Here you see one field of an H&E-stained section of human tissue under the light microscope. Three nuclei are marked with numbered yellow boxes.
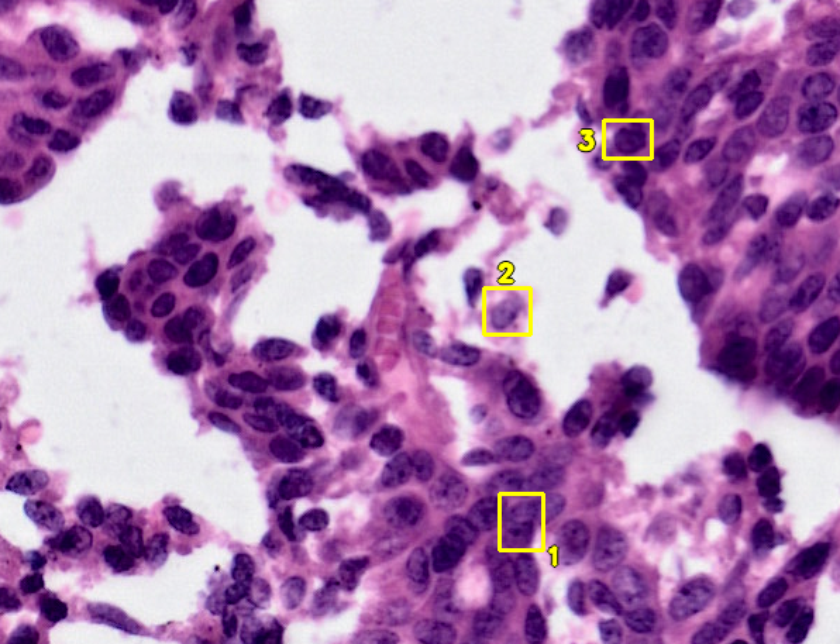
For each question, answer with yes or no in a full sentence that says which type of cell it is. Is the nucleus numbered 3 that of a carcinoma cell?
Yes, the cell distinguished by number 3 is a carcinoma cell.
